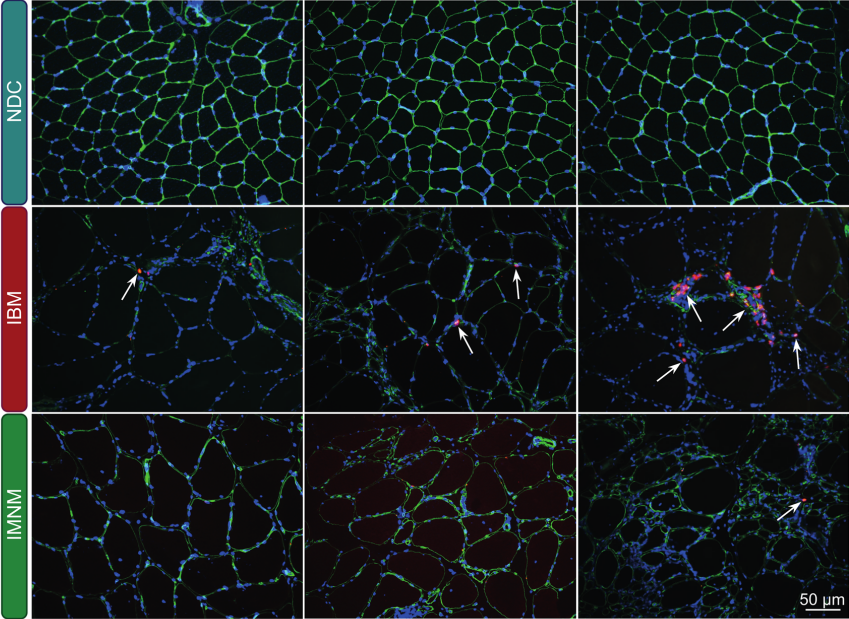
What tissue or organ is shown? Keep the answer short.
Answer: muscle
